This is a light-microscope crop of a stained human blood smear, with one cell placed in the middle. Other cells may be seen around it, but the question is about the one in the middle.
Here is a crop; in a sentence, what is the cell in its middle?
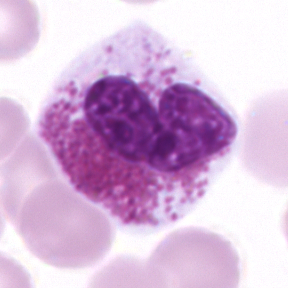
The cell centred in this crop is categorized as an eosinophil.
